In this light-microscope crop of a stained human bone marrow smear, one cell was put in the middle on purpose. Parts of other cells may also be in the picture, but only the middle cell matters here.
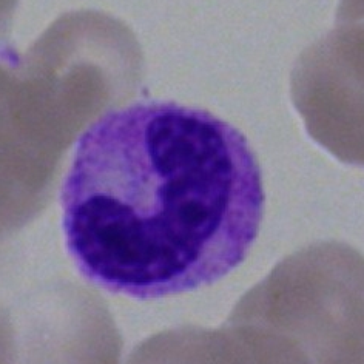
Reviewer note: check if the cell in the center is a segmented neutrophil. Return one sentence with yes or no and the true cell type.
No, it is a band neutrophil rather than a segmented neutrophil that the middle of the crop contains.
